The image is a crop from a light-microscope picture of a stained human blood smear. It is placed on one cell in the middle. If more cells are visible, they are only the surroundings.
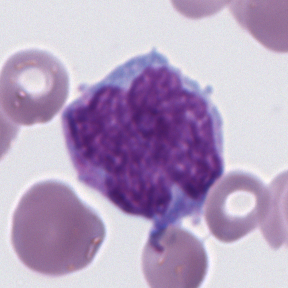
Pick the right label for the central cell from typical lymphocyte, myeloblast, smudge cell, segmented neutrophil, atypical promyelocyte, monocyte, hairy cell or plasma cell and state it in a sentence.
The crop shows an atypical promyelocyte in its centre.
